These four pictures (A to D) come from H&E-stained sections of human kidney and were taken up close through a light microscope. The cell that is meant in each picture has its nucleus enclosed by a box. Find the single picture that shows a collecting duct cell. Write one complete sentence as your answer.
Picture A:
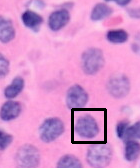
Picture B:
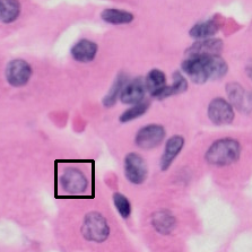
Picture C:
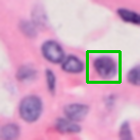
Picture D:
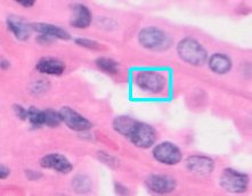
The picture with the collecting duct cell is C.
